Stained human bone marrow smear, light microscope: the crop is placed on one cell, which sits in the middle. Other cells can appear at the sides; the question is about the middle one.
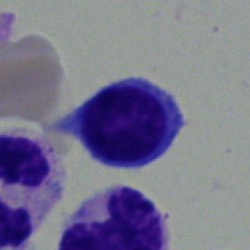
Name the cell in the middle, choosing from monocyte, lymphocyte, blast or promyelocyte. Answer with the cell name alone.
lymphocyte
